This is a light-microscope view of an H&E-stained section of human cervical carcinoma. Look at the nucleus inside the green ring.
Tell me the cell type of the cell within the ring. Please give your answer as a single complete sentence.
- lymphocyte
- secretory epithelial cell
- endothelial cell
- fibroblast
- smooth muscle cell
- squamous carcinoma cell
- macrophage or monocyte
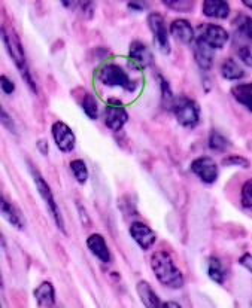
In the context of this tissue, the cell within the ring is a lymphocyte.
